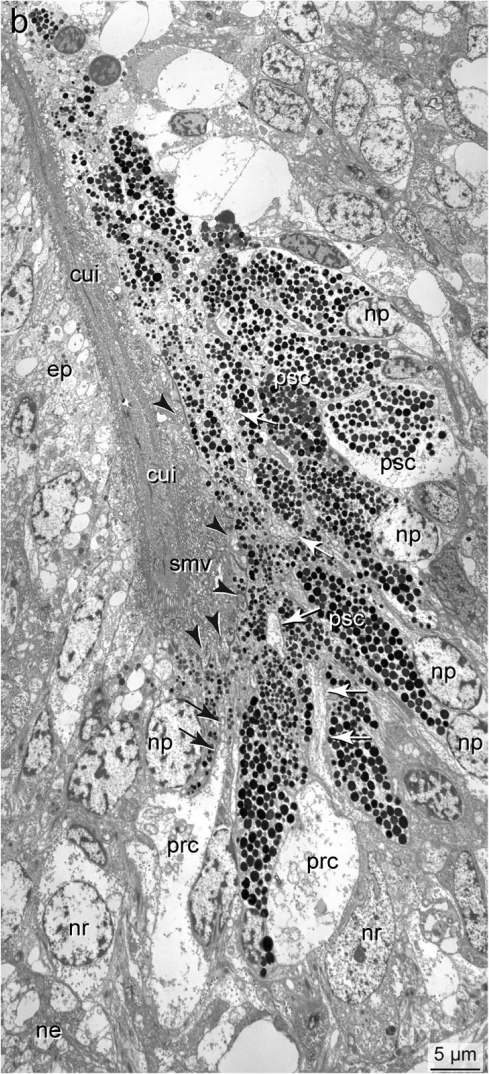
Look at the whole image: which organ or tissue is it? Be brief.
Retina.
